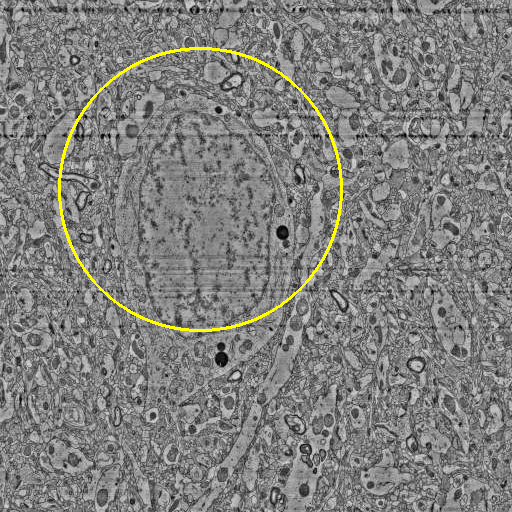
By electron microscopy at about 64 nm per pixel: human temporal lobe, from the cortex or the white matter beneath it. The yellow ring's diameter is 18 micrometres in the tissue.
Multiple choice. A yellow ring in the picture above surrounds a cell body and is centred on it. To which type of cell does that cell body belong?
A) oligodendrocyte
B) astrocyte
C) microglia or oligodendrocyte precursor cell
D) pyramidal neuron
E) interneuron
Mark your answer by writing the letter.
E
